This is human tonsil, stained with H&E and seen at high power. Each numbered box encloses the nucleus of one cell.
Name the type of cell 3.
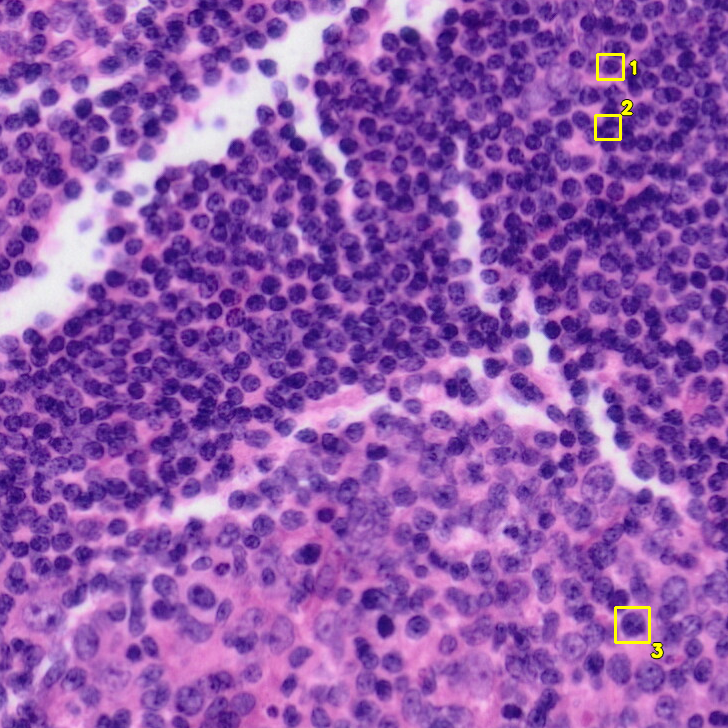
proliferating B cell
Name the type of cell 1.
small lymphocyte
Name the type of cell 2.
small lymphocyte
